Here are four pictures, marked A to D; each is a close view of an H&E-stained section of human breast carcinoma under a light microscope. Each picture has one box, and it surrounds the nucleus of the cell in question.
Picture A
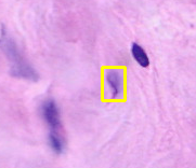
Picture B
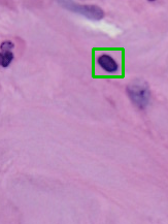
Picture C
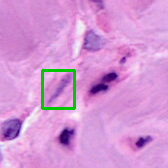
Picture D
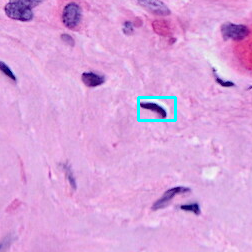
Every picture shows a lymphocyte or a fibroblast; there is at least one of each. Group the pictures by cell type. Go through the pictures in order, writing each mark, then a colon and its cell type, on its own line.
A: fibroblast
B: lymphocyte
C: fibroblast
D: fibroblast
